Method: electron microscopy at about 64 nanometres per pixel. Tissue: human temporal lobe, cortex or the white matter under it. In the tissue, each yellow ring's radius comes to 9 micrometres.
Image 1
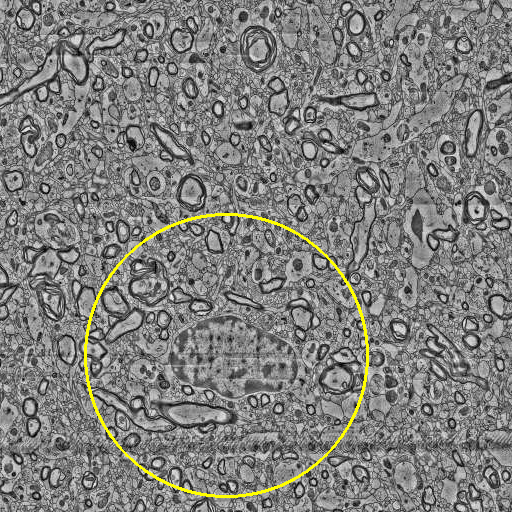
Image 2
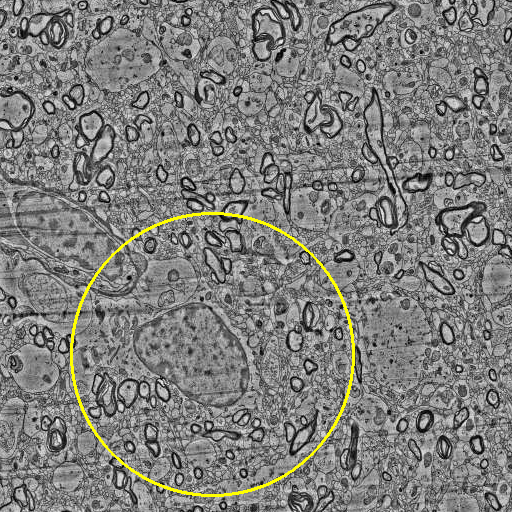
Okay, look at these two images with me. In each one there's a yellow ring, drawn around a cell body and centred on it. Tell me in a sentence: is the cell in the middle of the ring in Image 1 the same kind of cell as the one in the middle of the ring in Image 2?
Yes, they're the same kind of cell.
